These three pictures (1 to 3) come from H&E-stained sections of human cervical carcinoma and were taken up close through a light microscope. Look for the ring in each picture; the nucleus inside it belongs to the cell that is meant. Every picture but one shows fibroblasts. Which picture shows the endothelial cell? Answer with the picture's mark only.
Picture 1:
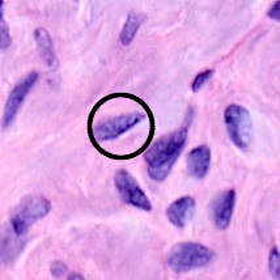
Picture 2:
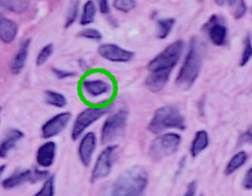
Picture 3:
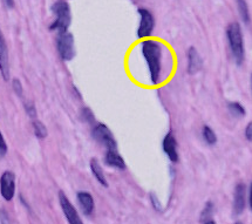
3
